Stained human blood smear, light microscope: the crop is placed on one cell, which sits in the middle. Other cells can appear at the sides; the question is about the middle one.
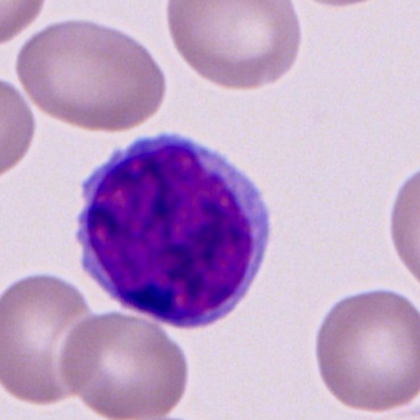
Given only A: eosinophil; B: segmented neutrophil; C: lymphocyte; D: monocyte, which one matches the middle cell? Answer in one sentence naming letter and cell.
The correct response is option C, naming the cell in the middle as a lymphocyte.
